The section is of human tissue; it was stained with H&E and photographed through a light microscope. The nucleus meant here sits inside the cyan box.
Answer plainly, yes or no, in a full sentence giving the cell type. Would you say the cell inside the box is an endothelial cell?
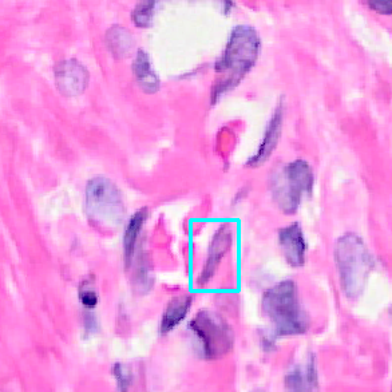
Yes, what the cell inside the box represents in this tissue is an endothelial cell.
